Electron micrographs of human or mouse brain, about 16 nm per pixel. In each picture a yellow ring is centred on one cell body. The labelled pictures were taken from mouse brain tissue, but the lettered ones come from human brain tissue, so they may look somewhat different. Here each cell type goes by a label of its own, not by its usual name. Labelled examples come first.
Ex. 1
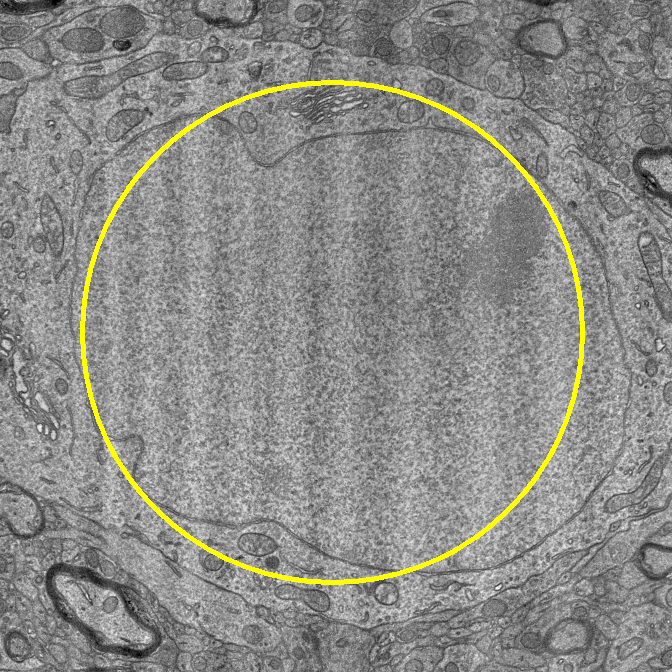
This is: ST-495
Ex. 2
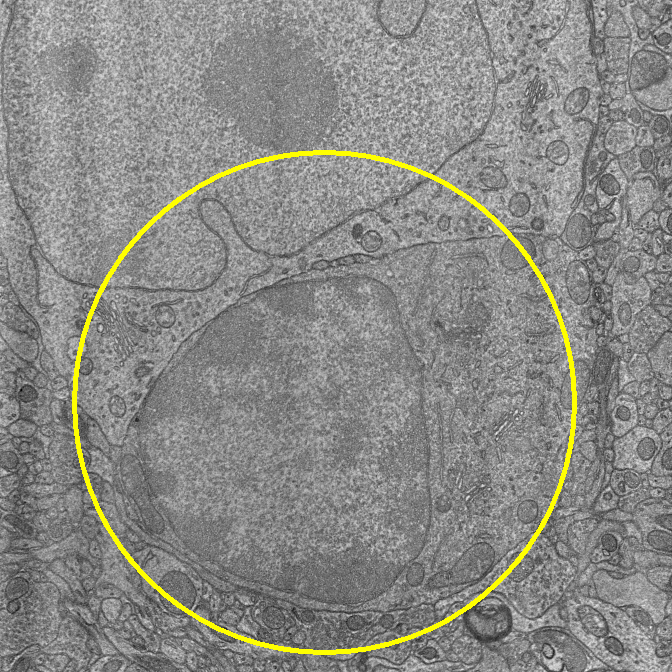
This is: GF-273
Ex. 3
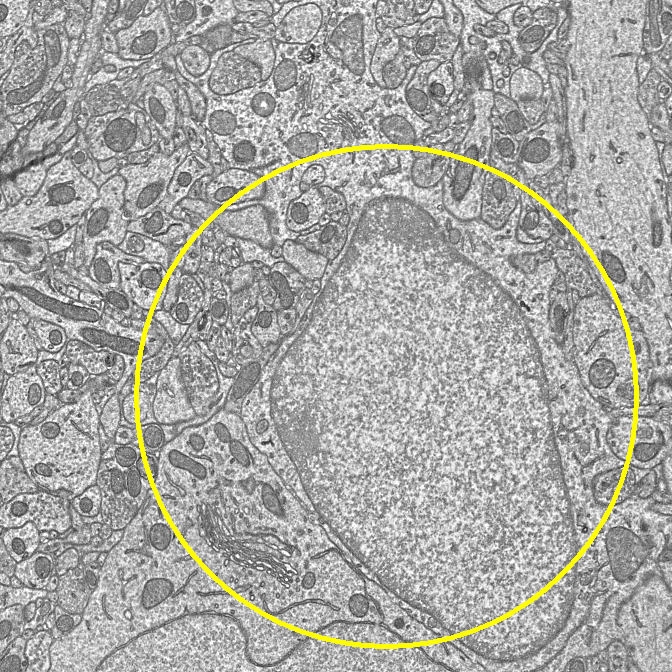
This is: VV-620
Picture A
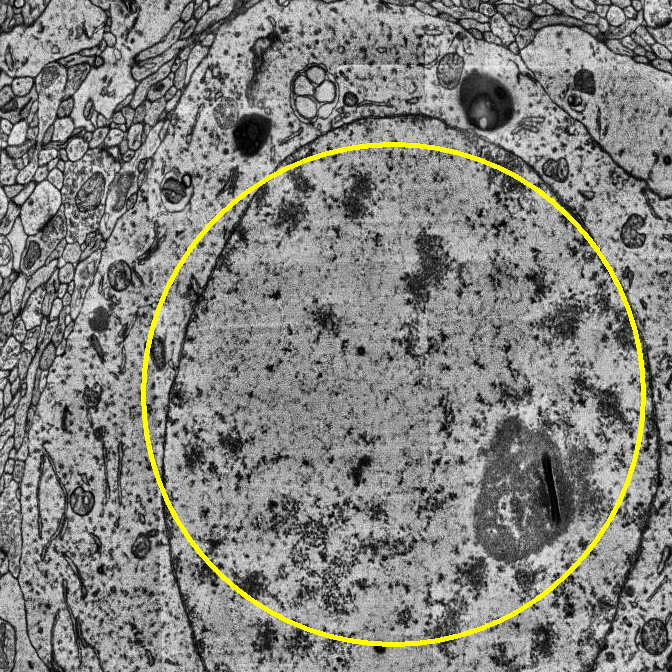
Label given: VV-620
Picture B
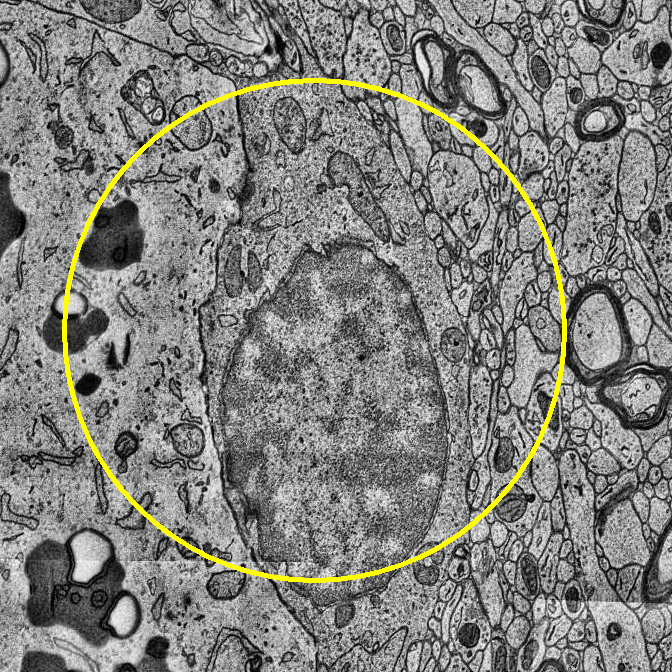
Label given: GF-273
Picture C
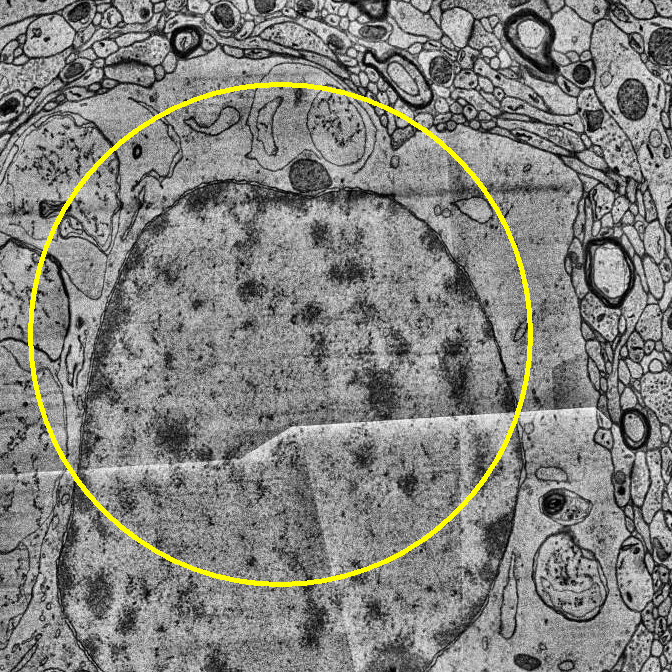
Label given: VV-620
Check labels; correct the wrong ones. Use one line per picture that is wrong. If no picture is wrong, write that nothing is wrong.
A: not VV-620 but ST-495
